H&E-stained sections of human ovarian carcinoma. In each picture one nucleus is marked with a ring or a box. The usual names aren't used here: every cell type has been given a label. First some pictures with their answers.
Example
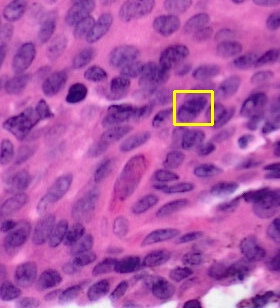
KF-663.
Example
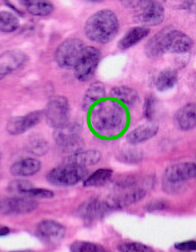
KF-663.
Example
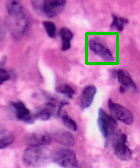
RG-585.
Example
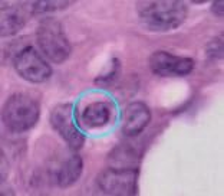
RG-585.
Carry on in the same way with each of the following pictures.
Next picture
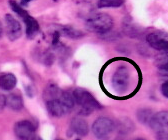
RG-585.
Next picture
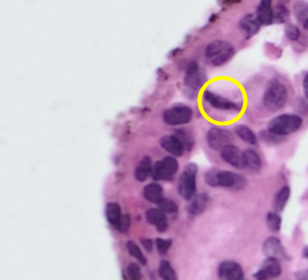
RG-585.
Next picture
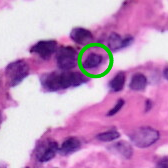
RG-585.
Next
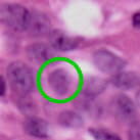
KF-663.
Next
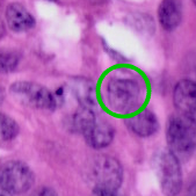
KF-663.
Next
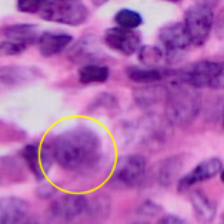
KF-663.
